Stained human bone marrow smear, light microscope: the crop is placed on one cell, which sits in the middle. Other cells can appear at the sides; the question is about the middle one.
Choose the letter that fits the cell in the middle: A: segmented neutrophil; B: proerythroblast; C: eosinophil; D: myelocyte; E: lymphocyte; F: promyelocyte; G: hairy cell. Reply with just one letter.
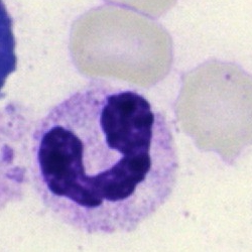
A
